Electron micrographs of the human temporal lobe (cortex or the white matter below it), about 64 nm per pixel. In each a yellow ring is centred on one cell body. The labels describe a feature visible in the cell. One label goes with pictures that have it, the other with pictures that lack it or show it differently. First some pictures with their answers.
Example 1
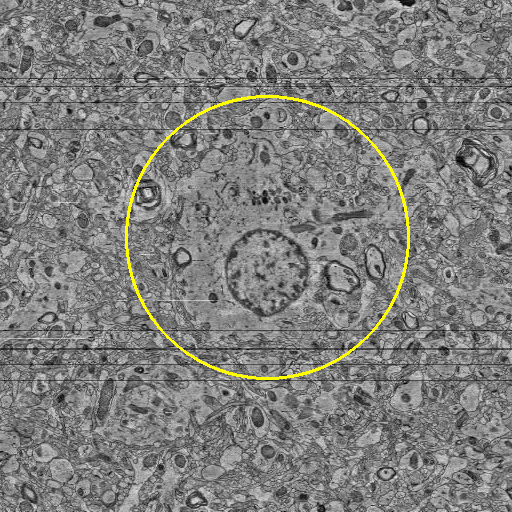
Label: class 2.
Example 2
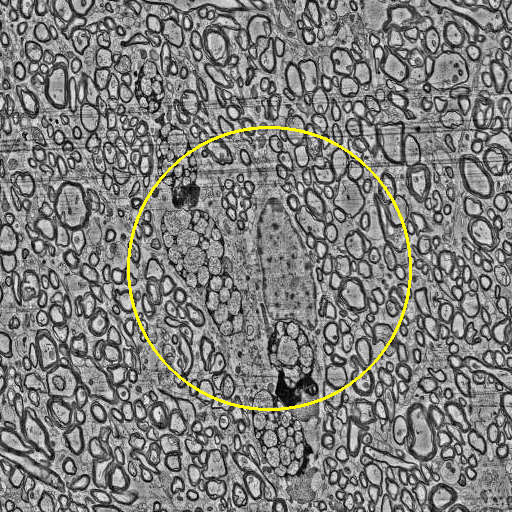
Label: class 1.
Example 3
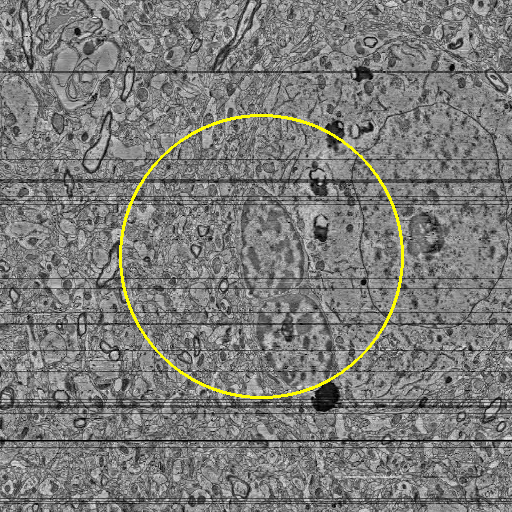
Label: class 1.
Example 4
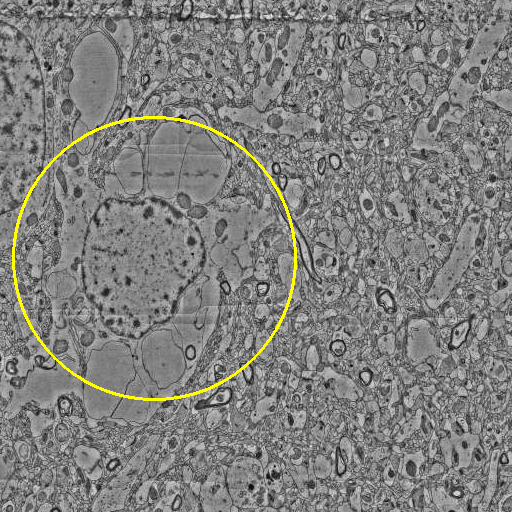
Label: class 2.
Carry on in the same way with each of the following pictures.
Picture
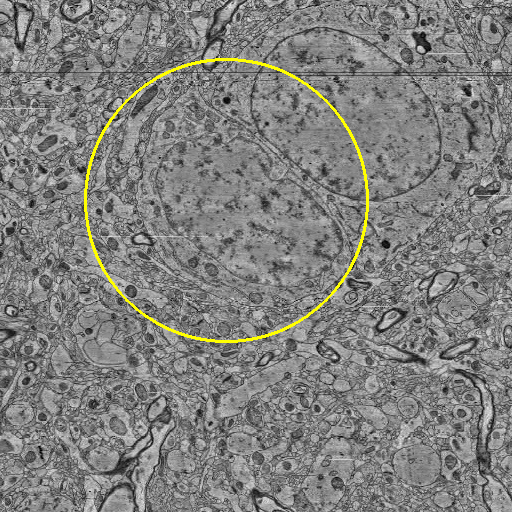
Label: class 1.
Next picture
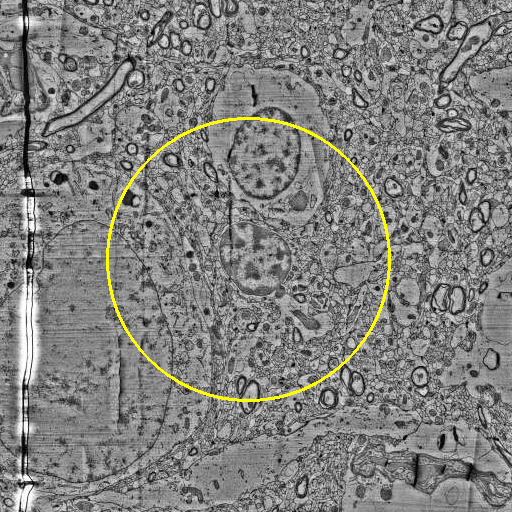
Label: class 2.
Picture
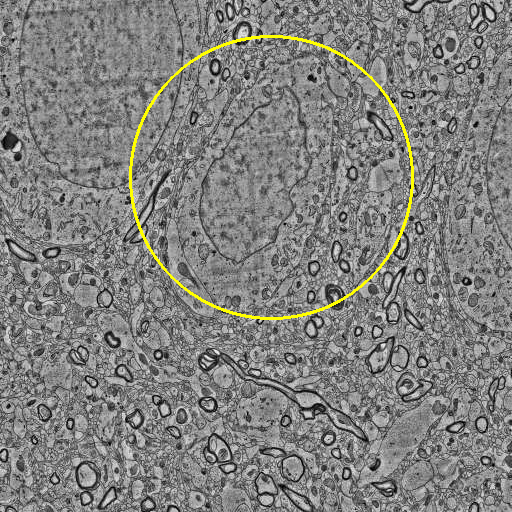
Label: class 1.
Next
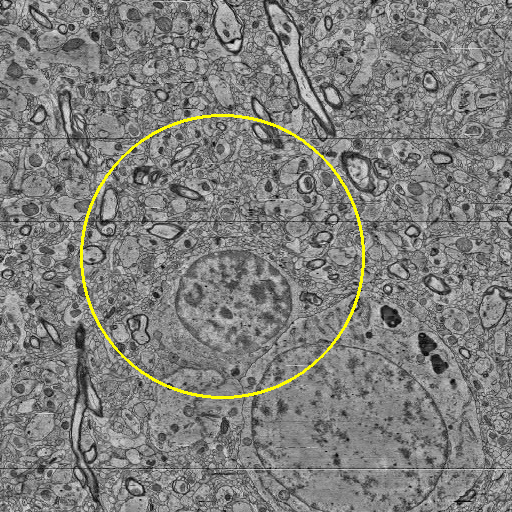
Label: class 2.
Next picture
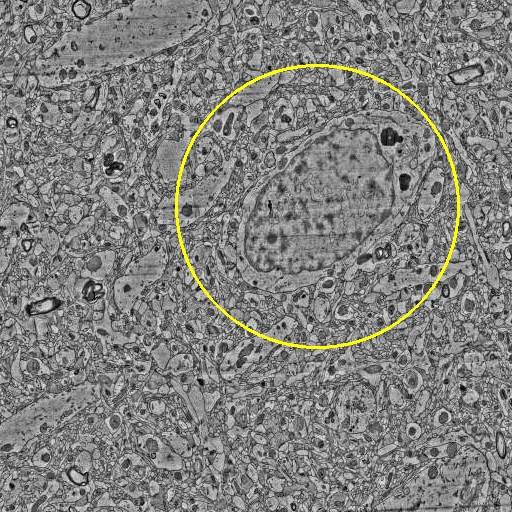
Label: class 1.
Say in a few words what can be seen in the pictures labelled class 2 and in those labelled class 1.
class 2: round or nearly round nuclei; class 1: clearly elongated nuclei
